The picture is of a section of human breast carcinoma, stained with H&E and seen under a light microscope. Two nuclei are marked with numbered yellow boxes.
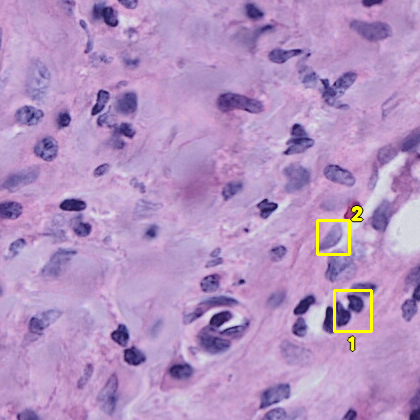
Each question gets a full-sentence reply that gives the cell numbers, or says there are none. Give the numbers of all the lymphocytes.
Cell 1, and no other numbered cell, is a lymphocyte.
